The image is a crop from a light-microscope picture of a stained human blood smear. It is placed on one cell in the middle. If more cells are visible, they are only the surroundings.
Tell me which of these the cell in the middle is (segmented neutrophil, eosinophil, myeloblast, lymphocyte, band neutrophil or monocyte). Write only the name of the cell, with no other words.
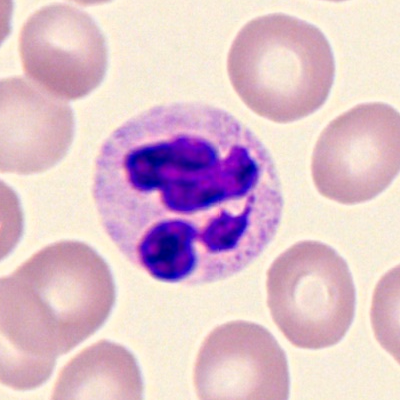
segmented neutrophil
